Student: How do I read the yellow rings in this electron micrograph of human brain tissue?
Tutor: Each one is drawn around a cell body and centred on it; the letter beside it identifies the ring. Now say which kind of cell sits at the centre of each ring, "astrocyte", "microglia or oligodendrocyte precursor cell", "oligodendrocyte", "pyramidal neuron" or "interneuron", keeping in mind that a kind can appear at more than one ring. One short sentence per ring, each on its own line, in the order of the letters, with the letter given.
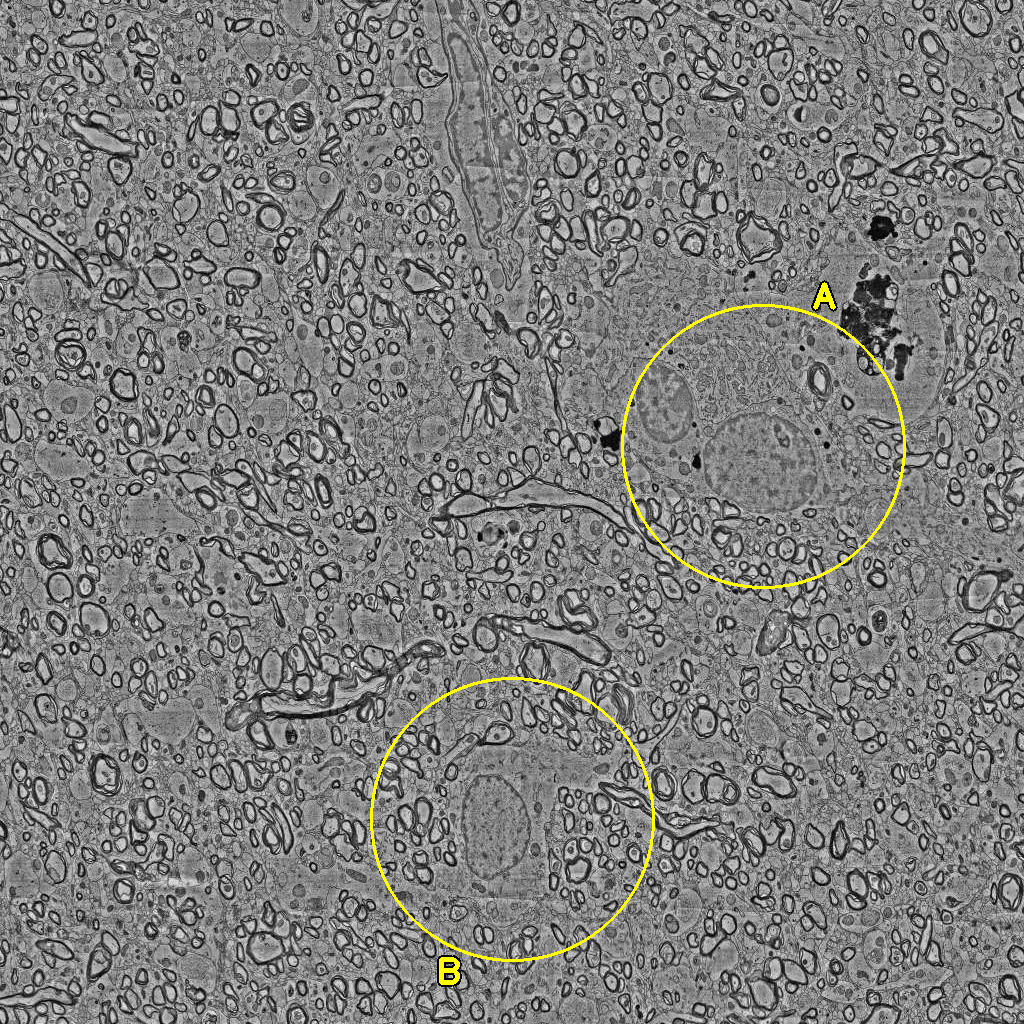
In the centre of ring A is an oligodendrocyte.
In the centre of ring B is a microglial cell or oligodendrocyte precursor cell.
